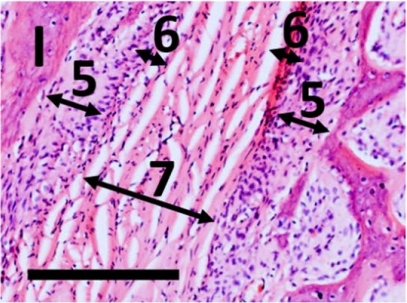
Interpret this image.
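Suture with cellular cambial and capsular layers on each side and a loose middle layer. Pink bone lies at the margins of the field. Next to the bone on both sides are bands crowded with dark purple nuclei, small and closely packed. The middle of the suture is occupied by long pink wavy fibre bundles separated by clear pale clefts, running roughly parallel along the suture, with relatively few nuclei between them. A thin streak of deeper red lies within one of the dense cellular bands.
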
